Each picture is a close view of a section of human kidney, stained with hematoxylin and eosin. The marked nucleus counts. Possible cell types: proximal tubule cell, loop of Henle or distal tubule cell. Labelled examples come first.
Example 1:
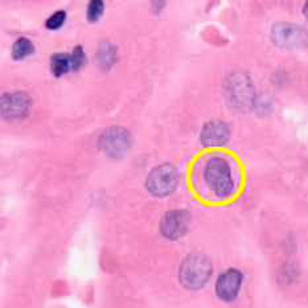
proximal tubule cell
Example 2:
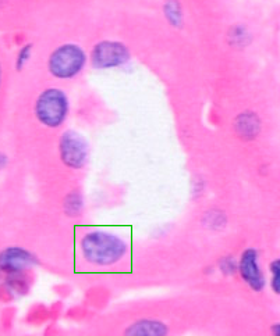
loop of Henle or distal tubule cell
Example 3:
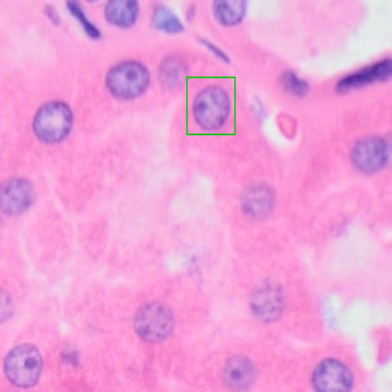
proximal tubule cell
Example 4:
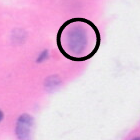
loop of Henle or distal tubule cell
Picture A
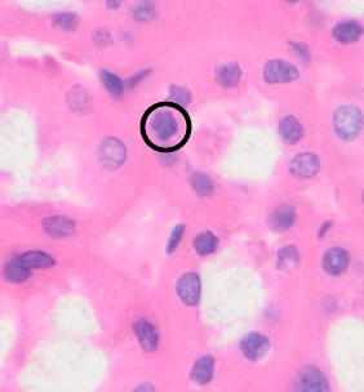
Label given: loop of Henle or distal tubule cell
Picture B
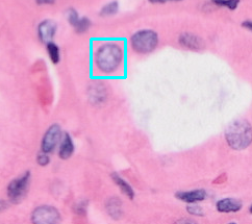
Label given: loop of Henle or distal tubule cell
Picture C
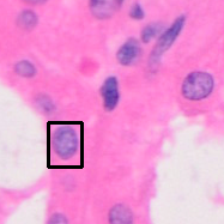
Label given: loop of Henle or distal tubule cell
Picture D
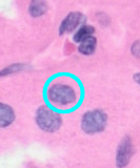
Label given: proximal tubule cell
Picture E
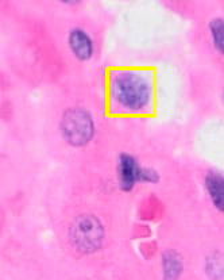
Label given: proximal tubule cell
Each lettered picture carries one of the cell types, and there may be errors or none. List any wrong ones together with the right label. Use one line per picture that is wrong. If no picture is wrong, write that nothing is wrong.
Wrong: D (proximal tubule cell); correct: loop of Henle or distal tubule cell
Wrong: E (proximal tubule cell); correct: loop of Henle or distal tubule cell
